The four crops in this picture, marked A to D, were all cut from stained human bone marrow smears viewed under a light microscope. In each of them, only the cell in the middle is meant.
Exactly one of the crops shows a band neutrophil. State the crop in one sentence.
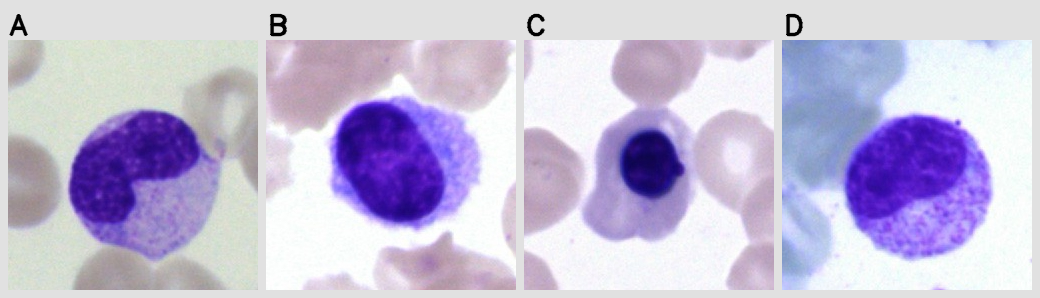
Of the labelled crops, the one that shows a band neutrophil is crop A.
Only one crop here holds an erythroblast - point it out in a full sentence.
Among all the crops given here, the one with an erythroblast is crop C.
